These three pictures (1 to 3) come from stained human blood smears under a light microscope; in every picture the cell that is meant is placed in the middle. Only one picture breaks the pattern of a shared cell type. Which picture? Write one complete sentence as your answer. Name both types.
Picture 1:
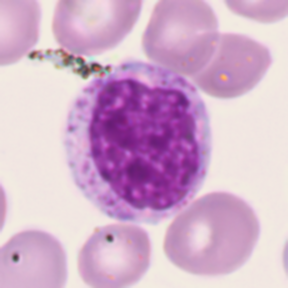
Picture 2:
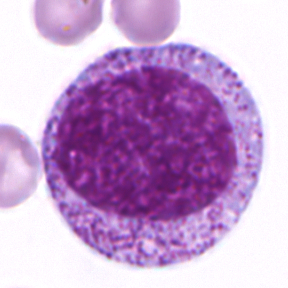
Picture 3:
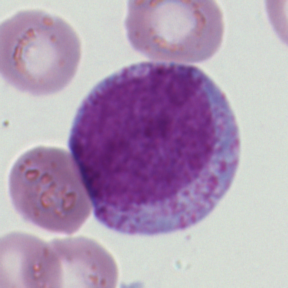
Picture 3 is the odd one out: it shows a promyelocyte, while the others show myelocytes.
